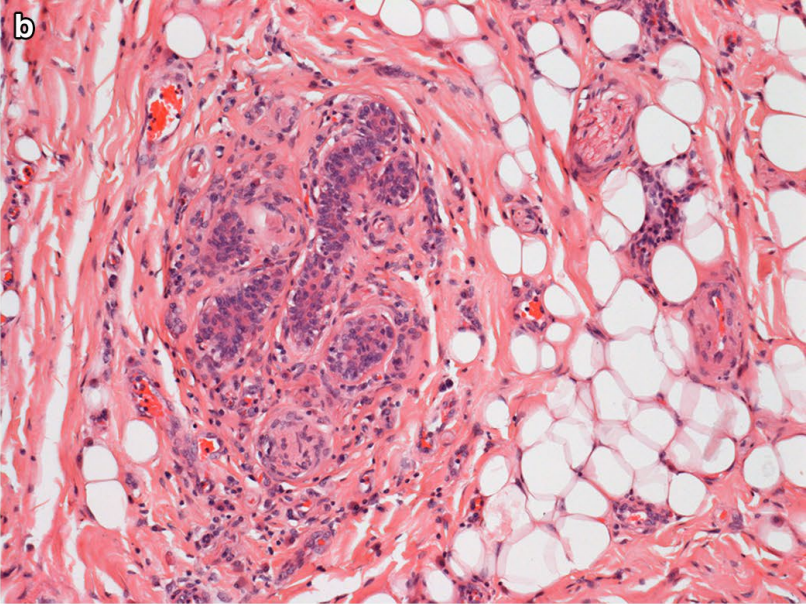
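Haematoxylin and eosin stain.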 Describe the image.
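A small lobulated cluster of epithelial nests lies in dense pink fibrous tissue next to fat. The nests are made of crowded cells with dark oval nuclei and scant cytoplasm, and the cluster is wrapped in a concentric collar of fibrous stroma with small vessels holding red blood cells.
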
